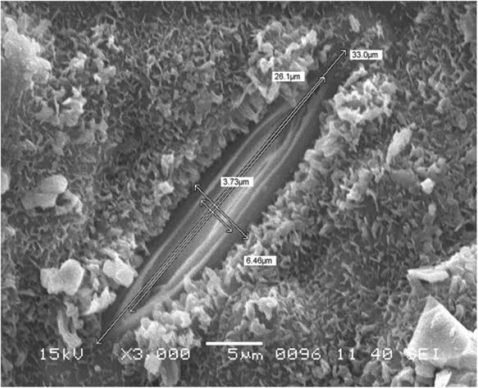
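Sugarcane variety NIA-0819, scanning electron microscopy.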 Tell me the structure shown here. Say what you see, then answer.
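A narrow, elongated pore runs diagonally between two slender guard cells. The surrounding surface is densely covered with small flaky projections.
Hence: stomata.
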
